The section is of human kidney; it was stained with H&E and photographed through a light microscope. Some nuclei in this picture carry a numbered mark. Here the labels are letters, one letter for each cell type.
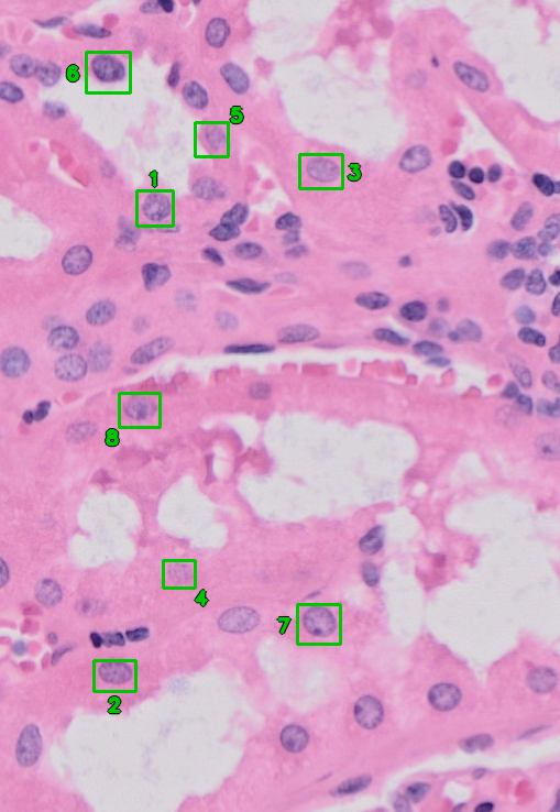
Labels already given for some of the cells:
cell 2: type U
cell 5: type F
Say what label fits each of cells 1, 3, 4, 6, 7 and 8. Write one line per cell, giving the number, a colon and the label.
1: type F
3: type U
4: type U
6: type F
7: type U
8: type U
